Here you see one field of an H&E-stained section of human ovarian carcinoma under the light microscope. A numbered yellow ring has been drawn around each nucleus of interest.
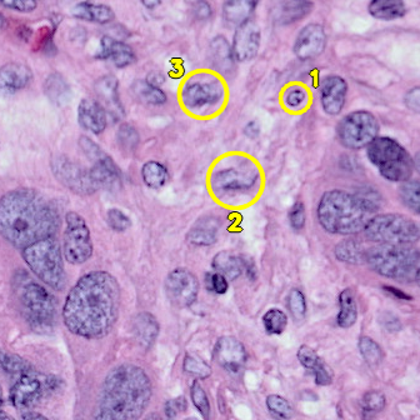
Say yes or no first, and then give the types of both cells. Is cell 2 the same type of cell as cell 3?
Yes, both are fibroblasts.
